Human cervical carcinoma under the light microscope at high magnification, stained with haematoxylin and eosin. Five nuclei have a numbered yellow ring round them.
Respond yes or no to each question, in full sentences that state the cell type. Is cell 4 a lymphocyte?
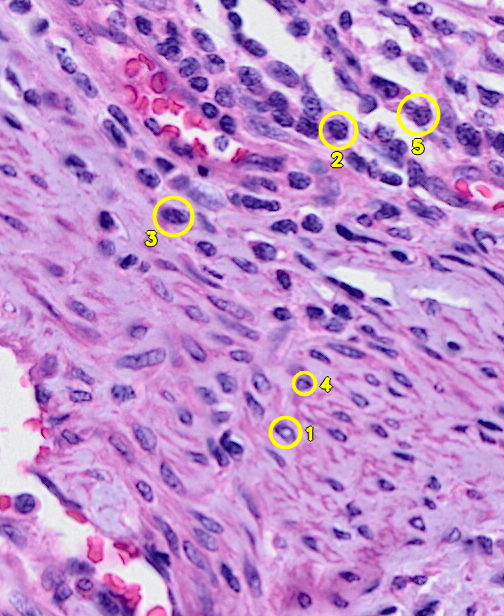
No, that is wrong: cell 4 is a smooth muscle cell, and not a lymphocyte.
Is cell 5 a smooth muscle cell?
No, in terms of cell type, cell 5 is a lymphocyte, not a smooth muscle cell.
